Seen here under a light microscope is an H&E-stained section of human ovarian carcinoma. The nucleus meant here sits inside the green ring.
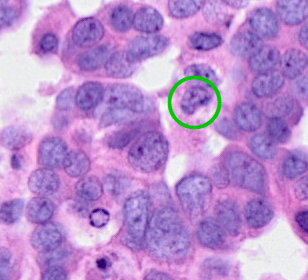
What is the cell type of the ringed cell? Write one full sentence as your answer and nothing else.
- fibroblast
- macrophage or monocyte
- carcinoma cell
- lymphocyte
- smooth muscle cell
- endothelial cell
Just put down that the ringed cell is a macrophage or monocyte.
